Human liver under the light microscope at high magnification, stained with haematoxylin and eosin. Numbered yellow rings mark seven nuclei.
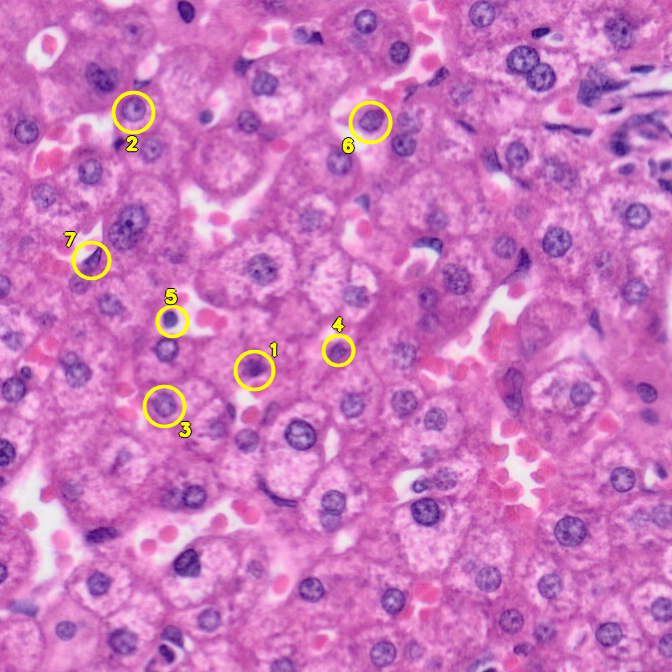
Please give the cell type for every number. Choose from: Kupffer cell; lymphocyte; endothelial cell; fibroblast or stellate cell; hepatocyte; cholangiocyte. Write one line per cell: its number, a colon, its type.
1: fibroblast or stellate cell
2: hepatocyte
3: hepatocyte
4: Kupffer cell
5: lymphocyte
6: Kupffer cell
7: endothelial cell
